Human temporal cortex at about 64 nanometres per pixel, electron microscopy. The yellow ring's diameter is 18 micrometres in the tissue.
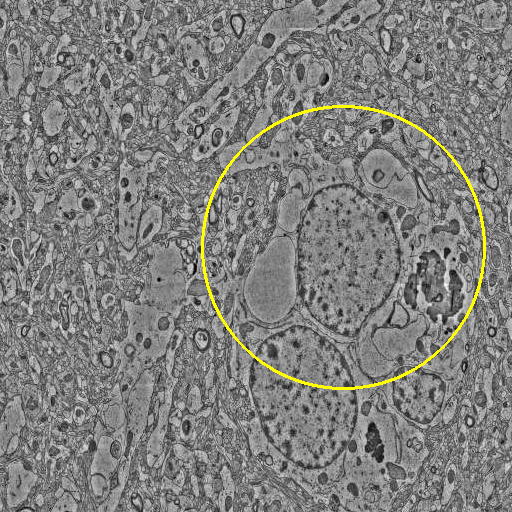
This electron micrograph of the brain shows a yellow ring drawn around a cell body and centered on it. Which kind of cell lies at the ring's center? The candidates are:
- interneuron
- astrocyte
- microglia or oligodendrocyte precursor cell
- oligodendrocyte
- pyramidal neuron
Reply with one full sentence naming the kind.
The cell lying at the ring's center in this micrograph is an astrocyte.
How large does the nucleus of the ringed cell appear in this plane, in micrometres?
The nucleus measures about 10 by 7 micrometres in this plane.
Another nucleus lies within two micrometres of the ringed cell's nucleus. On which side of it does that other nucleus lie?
That other nucleus appears below it.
